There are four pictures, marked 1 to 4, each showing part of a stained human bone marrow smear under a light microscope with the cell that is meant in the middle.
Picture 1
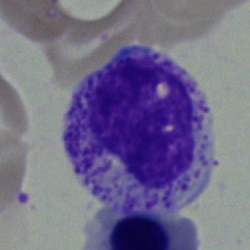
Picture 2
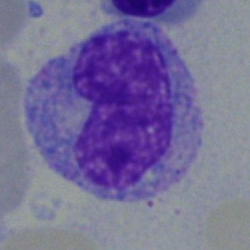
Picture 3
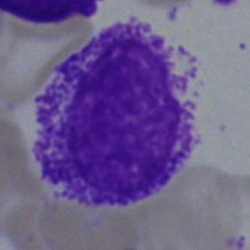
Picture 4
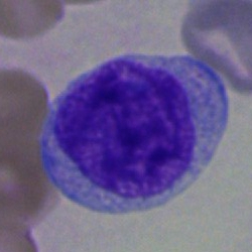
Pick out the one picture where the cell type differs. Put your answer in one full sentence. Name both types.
Picture 2 differs, because its cell is a monocyte and the rest are myelocytes.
